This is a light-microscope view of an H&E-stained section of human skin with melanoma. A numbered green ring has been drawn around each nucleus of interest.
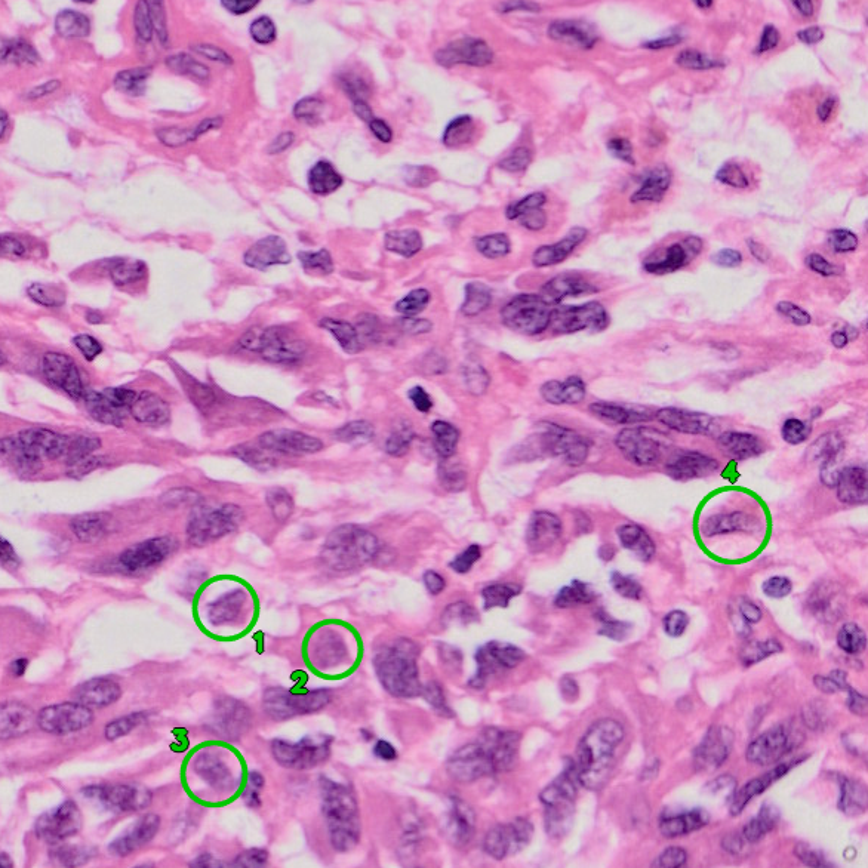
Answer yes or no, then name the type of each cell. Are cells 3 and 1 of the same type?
Yes, cell 3 and likewise cell 1 are melanoma cells.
